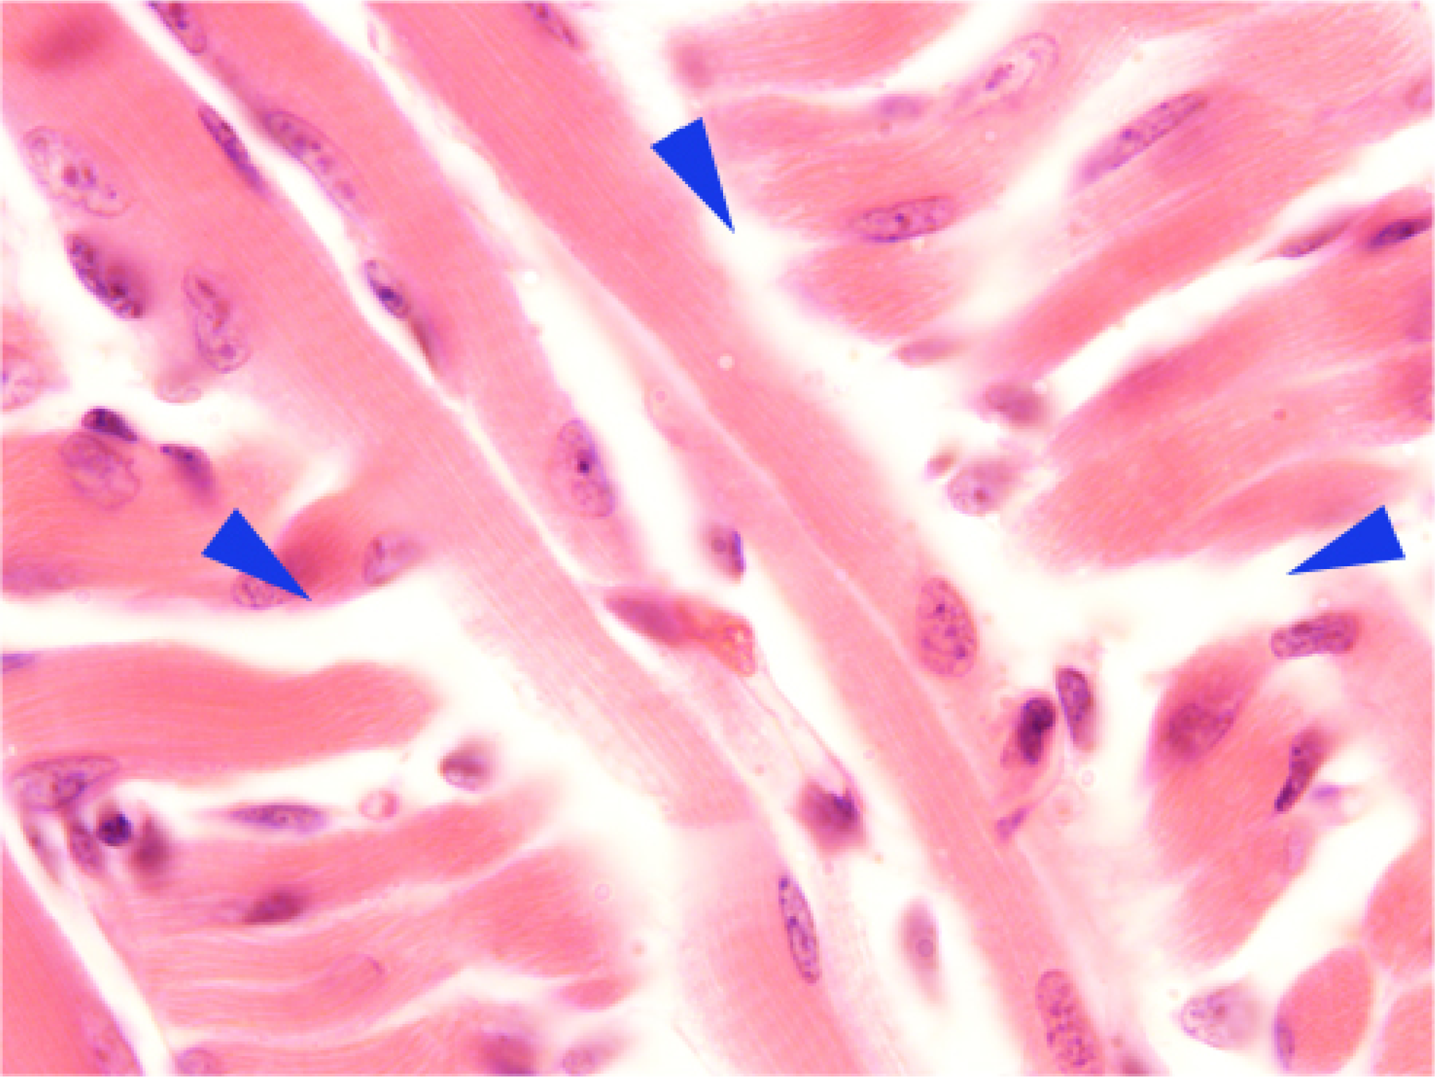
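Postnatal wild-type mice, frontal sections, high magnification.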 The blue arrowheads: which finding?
empty spaces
